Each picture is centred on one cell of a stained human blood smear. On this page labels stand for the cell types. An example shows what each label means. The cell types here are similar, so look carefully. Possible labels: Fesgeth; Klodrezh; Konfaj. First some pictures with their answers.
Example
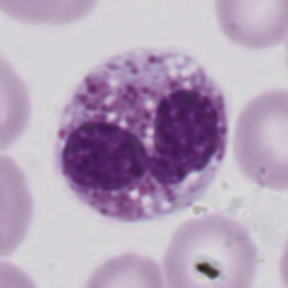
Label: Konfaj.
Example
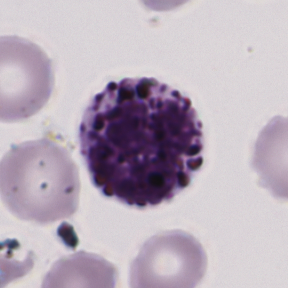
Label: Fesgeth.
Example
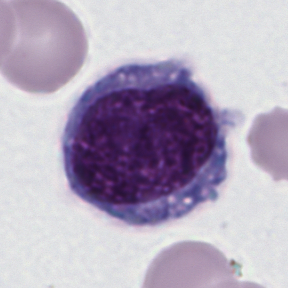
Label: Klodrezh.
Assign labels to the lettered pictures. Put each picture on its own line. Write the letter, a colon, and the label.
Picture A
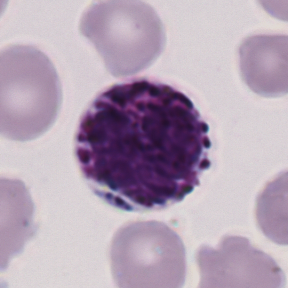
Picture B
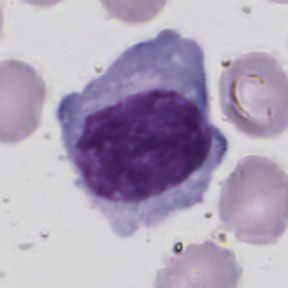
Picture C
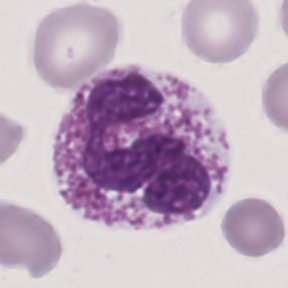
A: Fesgeth.
B: Klodrezh.
C: Konfaj.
